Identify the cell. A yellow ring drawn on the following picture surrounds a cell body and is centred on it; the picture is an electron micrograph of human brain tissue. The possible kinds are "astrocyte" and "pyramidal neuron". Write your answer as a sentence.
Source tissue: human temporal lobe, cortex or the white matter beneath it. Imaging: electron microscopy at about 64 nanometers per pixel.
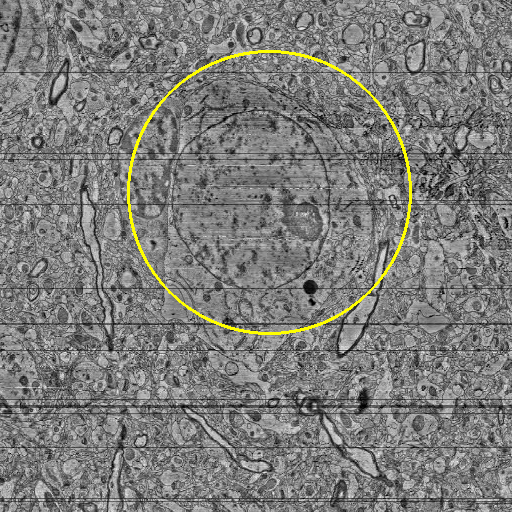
The cell identified by the ring is a pyramidal neuron.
